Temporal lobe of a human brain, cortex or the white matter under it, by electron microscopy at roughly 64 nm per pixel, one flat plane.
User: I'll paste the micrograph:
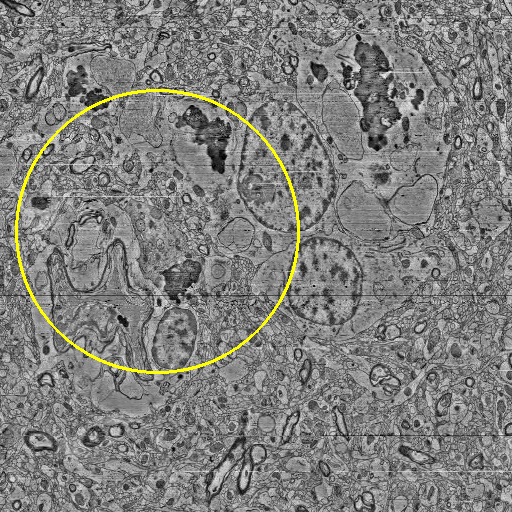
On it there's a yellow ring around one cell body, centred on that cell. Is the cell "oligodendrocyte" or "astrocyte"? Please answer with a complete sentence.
The cell ringed in yellow is an oligodendrocyte.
